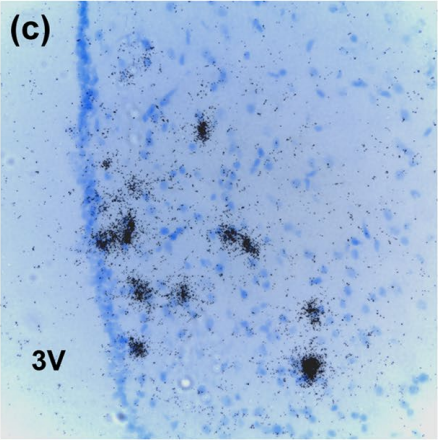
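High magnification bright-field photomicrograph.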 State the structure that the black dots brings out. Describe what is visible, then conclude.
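Tiny black dots are scattered over a pale blue counterstained field. The black dots pile up into dense dark clusters over single cell bodies.
Individual autoradiography grains.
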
